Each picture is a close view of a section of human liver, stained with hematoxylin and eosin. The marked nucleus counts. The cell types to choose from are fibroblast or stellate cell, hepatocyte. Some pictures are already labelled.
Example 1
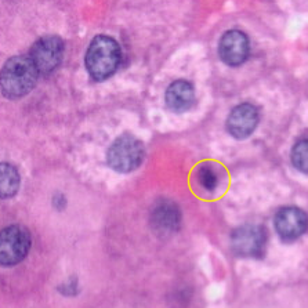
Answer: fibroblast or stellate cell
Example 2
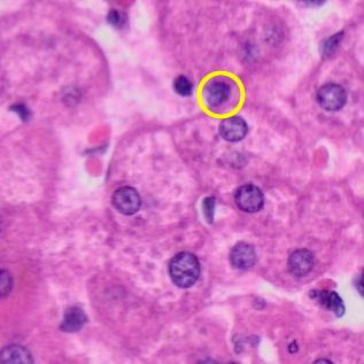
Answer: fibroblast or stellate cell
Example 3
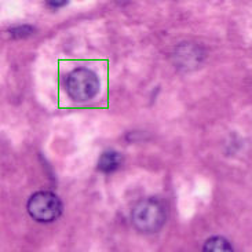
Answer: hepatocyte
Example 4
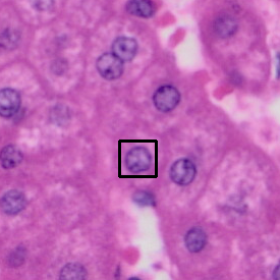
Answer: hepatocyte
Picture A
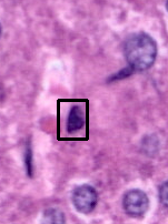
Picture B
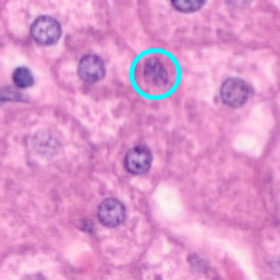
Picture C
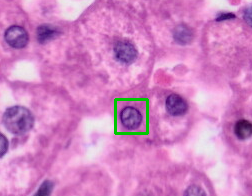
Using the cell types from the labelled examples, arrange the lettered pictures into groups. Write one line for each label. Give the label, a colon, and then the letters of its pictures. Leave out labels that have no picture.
fibroblast or stellate cell: A, B
hepatocyte: C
